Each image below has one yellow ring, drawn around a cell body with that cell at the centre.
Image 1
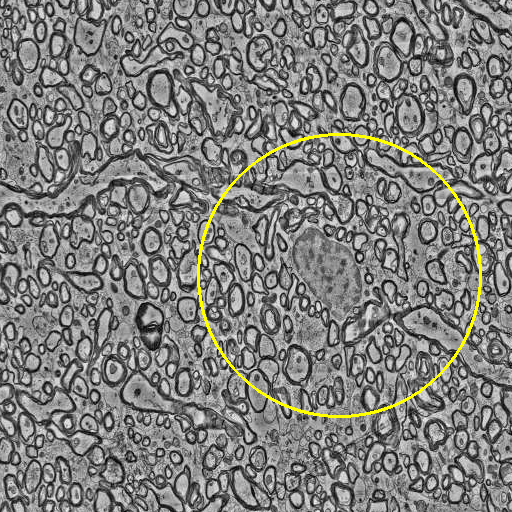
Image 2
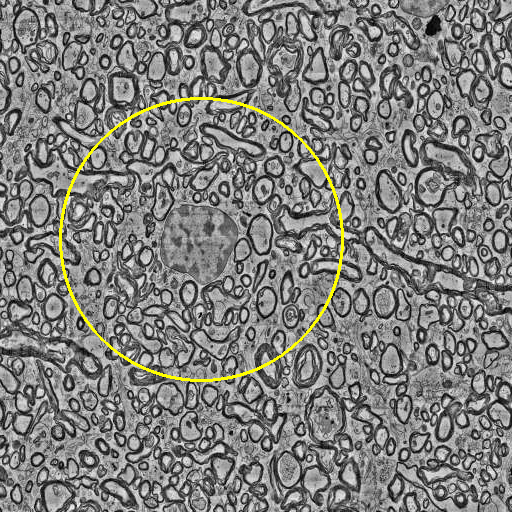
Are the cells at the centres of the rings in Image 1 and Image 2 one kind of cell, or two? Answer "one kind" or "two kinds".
two kinds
